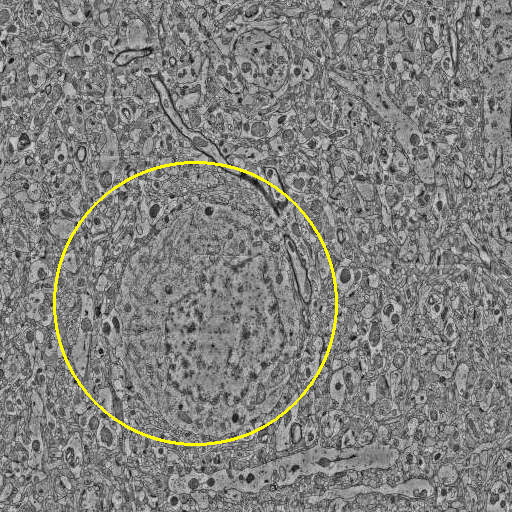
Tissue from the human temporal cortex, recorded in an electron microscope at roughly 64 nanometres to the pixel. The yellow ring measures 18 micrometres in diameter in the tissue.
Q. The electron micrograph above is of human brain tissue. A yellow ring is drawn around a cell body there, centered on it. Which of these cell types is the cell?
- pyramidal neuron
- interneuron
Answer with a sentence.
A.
The cell under the ring's center is an interneuron.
